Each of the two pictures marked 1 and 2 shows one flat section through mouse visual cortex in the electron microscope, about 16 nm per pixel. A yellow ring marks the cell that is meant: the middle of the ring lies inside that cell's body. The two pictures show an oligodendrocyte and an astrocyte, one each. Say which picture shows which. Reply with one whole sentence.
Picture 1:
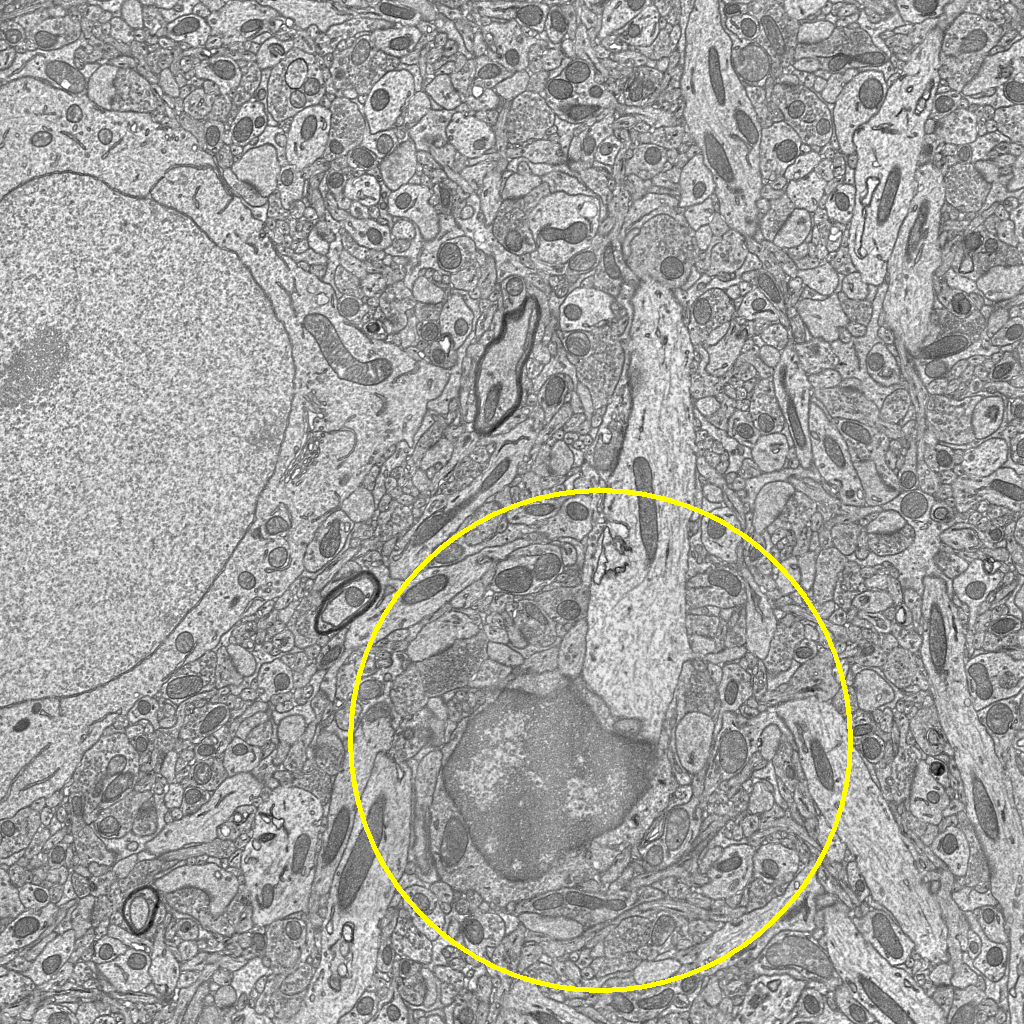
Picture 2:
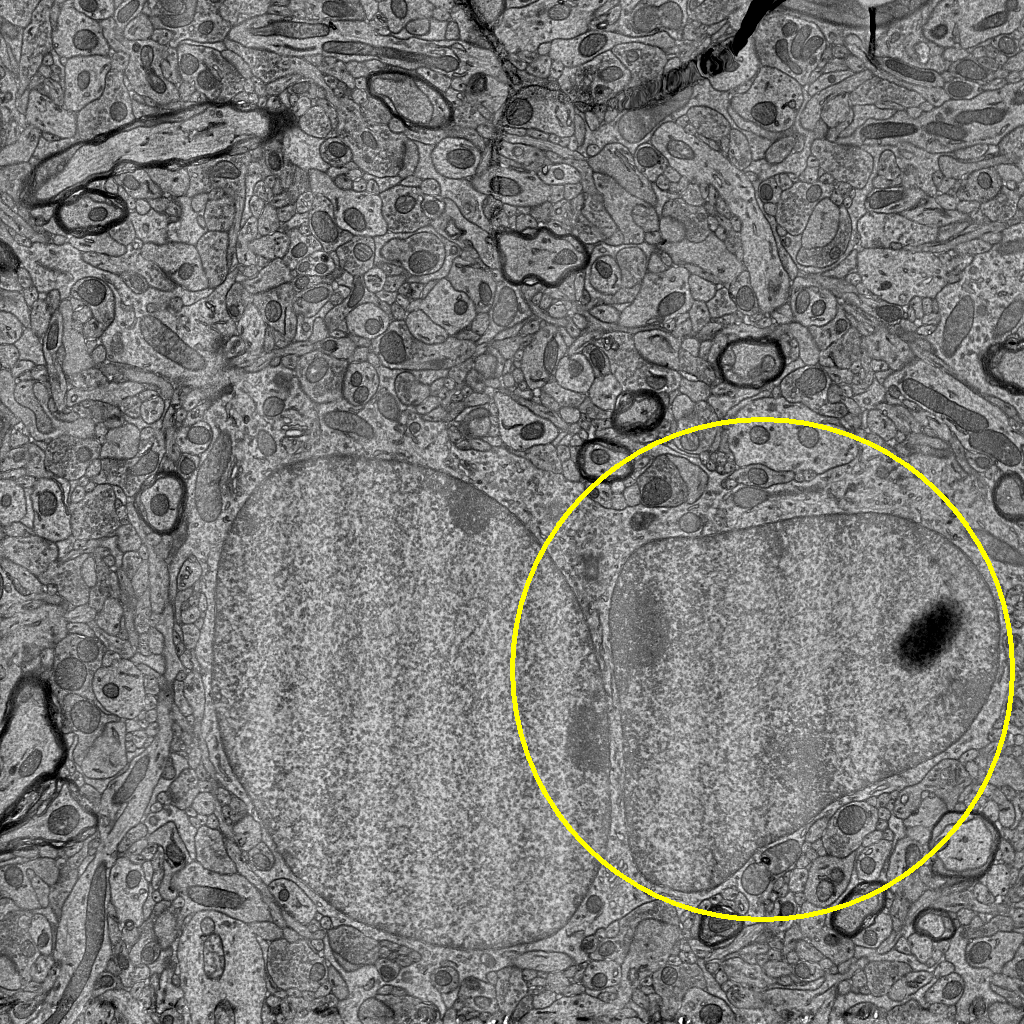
In picture 1 the cell is an oligodendrocyte; in picture 2, an astrocyte.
